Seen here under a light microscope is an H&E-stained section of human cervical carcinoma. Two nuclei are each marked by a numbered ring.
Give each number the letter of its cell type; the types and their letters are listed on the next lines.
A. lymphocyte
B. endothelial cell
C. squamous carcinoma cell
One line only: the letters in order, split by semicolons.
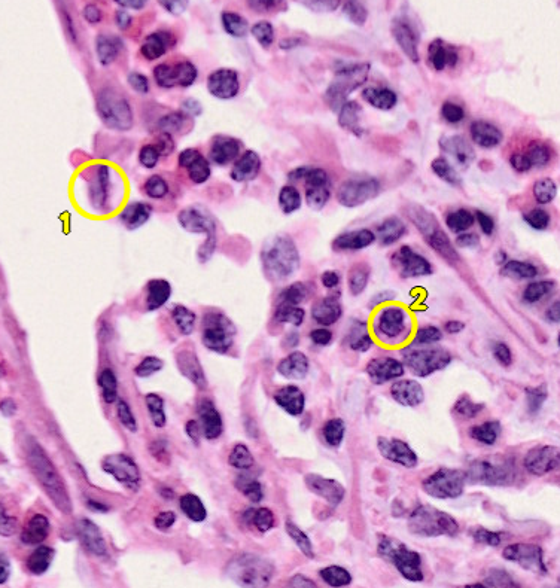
B; A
